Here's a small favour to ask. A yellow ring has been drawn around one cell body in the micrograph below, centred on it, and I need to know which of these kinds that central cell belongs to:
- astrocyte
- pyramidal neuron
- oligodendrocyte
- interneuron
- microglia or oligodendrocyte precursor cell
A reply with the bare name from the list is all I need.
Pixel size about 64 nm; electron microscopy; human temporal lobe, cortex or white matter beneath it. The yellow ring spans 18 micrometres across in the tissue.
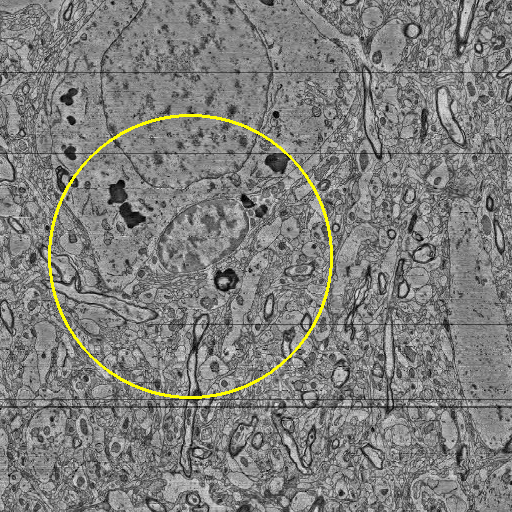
microglia or oligodendrocyte precursor cell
